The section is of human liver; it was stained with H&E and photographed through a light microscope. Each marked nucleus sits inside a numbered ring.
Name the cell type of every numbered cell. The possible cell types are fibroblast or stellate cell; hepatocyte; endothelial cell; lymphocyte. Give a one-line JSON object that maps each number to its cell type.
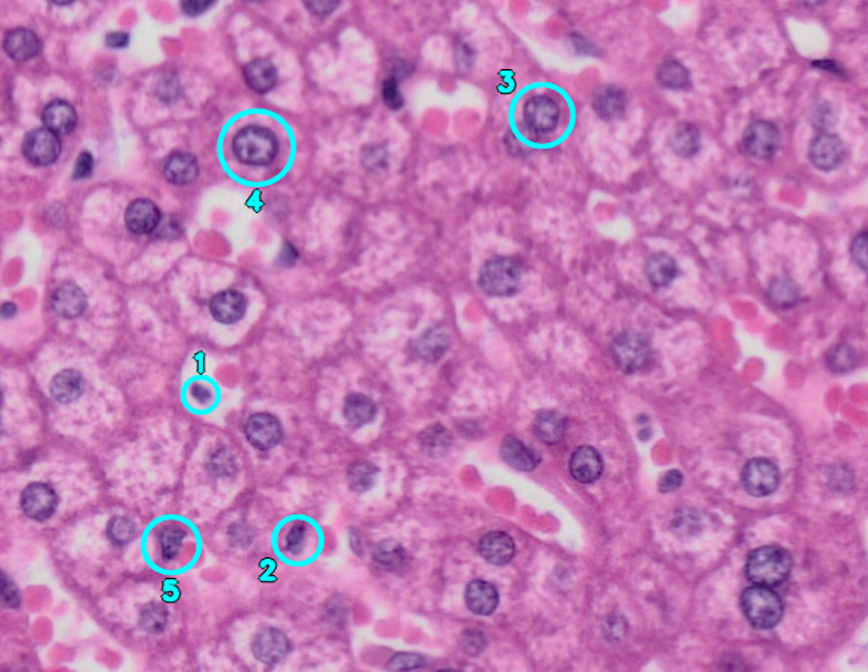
{"1": "lymphocyte", "2": "fibroblast or stellate cell", "3": "hepatocyte", "4": "hepatocyte", "5": "endothelial cell"}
